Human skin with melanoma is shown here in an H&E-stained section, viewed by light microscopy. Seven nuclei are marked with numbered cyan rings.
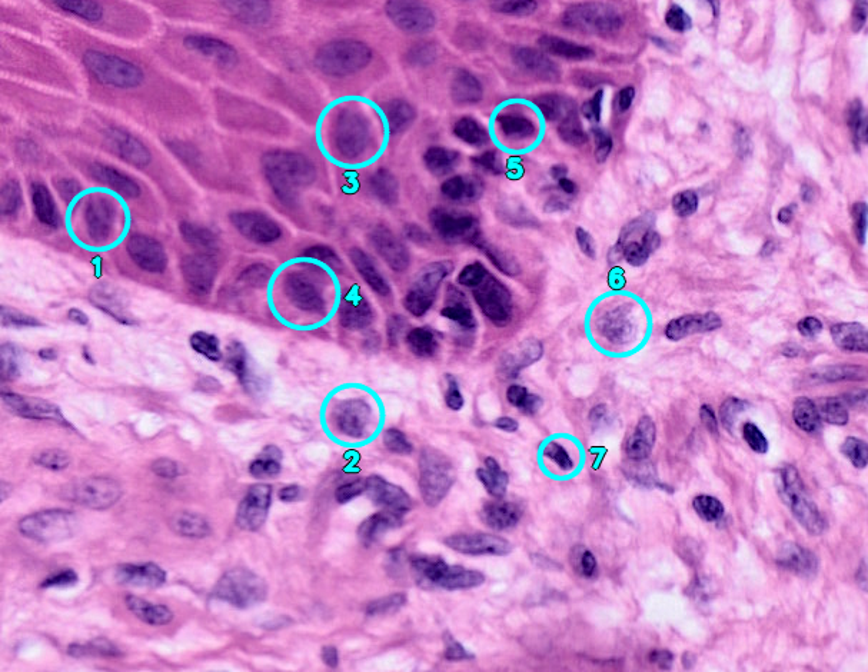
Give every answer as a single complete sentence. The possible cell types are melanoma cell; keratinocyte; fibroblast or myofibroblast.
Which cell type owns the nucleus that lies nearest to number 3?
The nearest nucleus to number 3 belongs to a keratinocyte.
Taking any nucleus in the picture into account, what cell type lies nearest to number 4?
Number 4 lies closest to the nucleus of a keratinocyte.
